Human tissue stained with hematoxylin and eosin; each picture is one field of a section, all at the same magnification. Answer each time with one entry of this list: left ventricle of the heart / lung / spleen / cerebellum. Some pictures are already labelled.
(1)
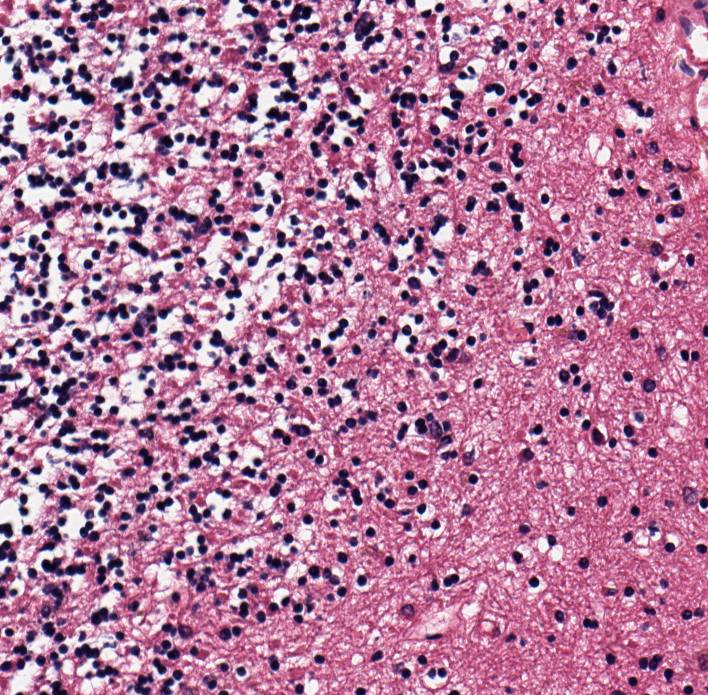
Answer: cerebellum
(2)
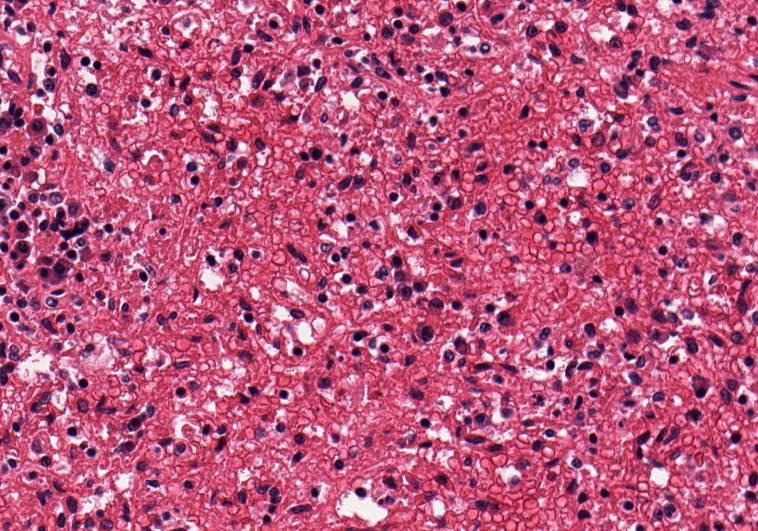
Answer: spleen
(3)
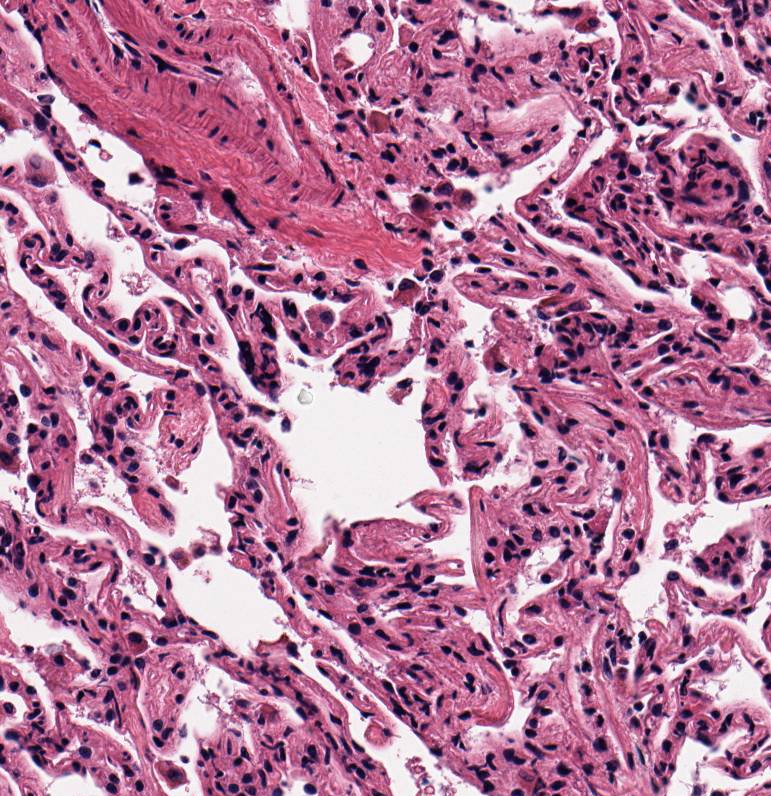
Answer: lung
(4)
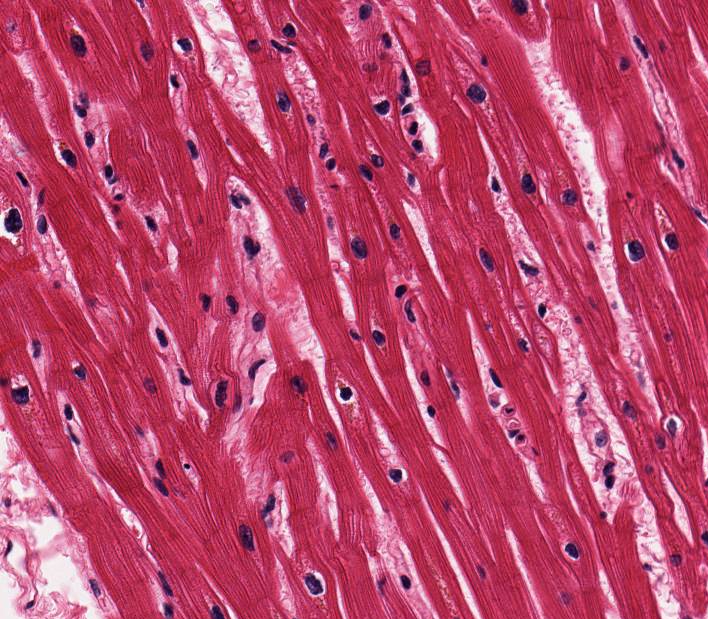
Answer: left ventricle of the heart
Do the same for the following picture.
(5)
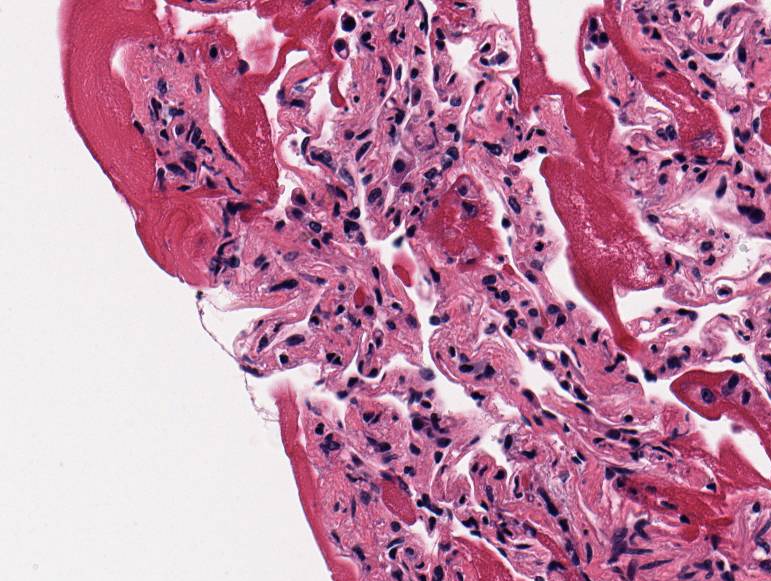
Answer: lung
